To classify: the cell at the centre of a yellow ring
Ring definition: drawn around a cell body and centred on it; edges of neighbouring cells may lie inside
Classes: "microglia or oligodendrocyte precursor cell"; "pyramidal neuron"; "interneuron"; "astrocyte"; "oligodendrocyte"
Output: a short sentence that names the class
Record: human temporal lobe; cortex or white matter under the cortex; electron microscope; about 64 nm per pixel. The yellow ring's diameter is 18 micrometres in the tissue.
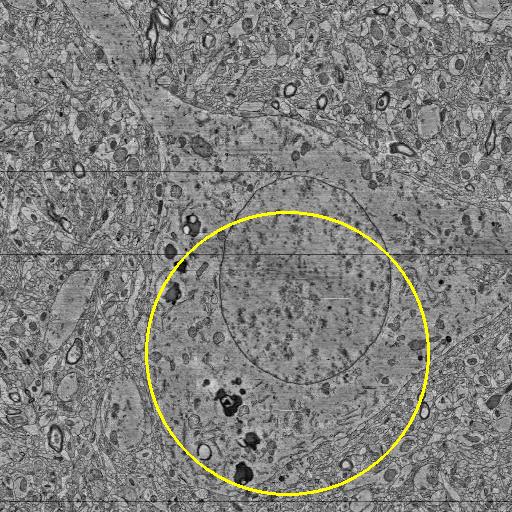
The ringed cell is a pyramidal neuron.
